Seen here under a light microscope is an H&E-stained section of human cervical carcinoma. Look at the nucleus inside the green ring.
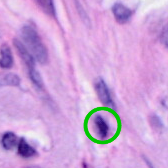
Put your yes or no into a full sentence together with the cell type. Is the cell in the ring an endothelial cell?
No, score the cell in the ring as a lymphocyte; it is not an endothelial cell.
